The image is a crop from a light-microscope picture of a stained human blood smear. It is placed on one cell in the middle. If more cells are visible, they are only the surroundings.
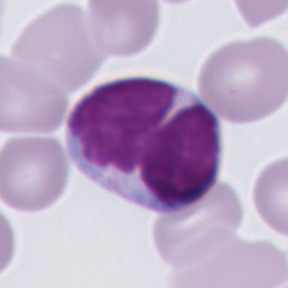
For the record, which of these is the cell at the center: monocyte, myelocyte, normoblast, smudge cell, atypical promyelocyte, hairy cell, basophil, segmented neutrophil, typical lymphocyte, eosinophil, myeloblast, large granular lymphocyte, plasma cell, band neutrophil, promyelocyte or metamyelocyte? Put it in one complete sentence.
Centrally within this crop lies a large granular lymphocyte.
